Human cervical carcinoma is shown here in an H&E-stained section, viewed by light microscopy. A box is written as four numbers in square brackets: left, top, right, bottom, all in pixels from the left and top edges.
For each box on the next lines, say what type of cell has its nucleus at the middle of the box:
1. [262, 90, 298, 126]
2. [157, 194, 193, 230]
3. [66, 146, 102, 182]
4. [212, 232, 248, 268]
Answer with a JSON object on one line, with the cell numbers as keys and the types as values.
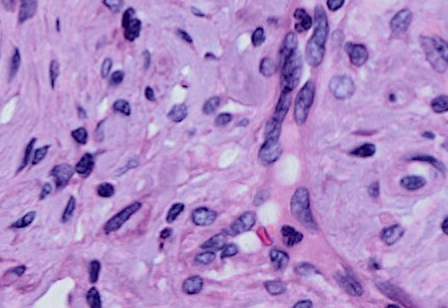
{"1": "endothelial cell", "2": "lymphocyte", "3": "lymphocyte", "4": "endothelial cell"}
